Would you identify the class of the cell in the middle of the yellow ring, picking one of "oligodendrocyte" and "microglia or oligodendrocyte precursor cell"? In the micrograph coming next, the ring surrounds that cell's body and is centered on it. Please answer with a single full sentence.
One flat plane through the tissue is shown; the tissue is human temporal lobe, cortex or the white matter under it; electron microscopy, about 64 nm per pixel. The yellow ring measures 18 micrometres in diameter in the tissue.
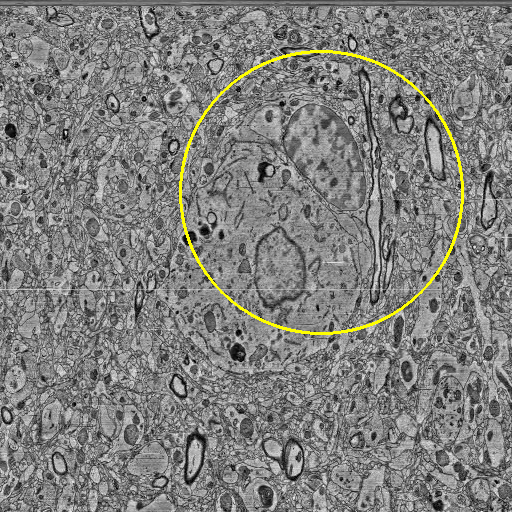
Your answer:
In the micrograph, it is a microglial cell or oligodendrocyte precursor cell whose body lies at the ring's center.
